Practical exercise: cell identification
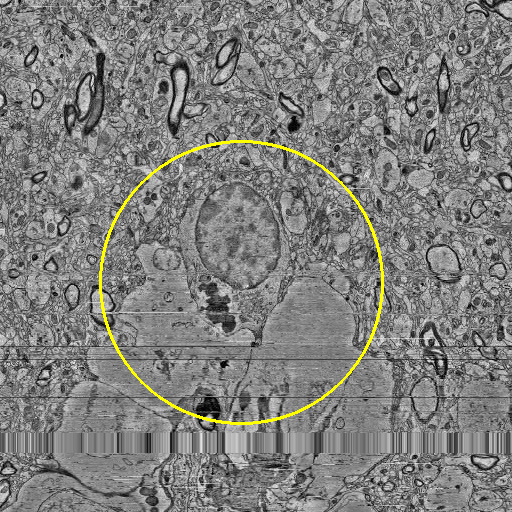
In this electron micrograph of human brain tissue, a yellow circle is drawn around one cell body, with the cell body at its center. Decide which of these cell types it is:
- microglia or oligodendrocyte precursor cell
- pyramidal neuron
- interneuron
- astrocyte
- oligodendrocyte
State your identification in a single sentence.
The ringed cell is an oligodendrocyte.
